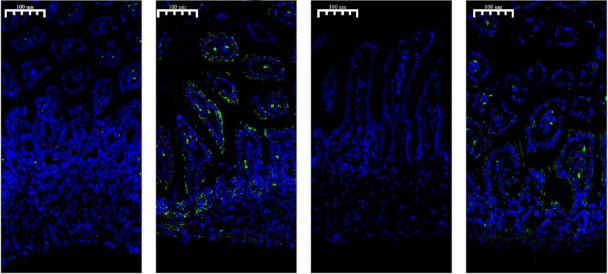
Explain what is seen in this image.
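Four fluorescence views of intestinal mucosa, with blue nuclei outlining villi and crypts. In the two outer-left and inner images the villi are cut across or lengthwise as rounded or finger-like profiles lined by densely packed nuclei. Bright green dots lie scattered among the nuclei, most numerous in the second image, where they crowd the epithelium and the base of the mucosa. The third image shows long slender villi with almost no green dots.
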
